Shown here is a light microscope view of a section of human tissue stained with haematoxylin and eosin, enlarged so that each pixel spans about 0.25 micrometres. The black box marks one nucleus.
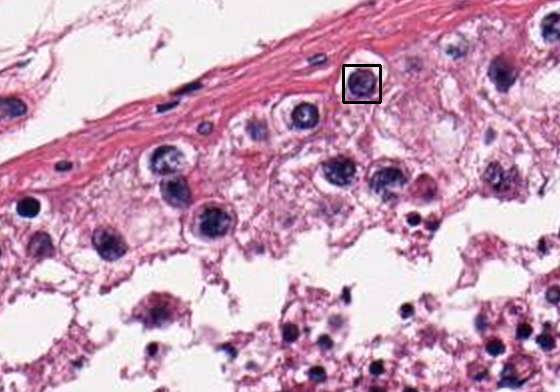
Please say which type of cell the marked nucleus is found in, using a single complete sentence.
In this picture, the marked nucleus belongs to a spermatogonium.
